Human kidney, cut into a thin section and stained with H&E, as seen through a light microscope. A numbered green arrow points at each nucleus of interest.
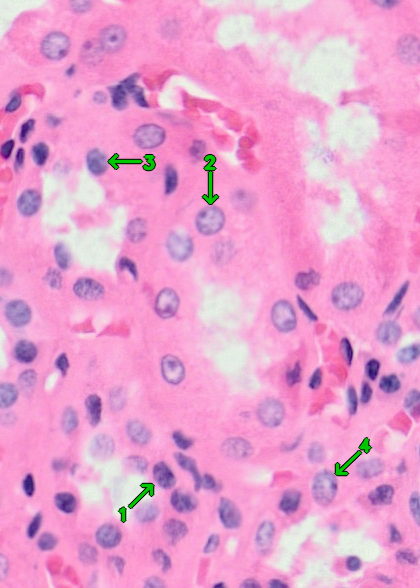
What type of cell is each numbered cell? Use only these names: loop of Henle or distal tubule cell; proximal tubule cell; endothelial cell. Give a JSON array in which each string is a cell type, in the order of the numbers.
["loop of Henle or distal tubule cell", "proximal tubule cell", "loop of Henle or distal tubule cell", "loop of Henle or distal tubule cell"]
